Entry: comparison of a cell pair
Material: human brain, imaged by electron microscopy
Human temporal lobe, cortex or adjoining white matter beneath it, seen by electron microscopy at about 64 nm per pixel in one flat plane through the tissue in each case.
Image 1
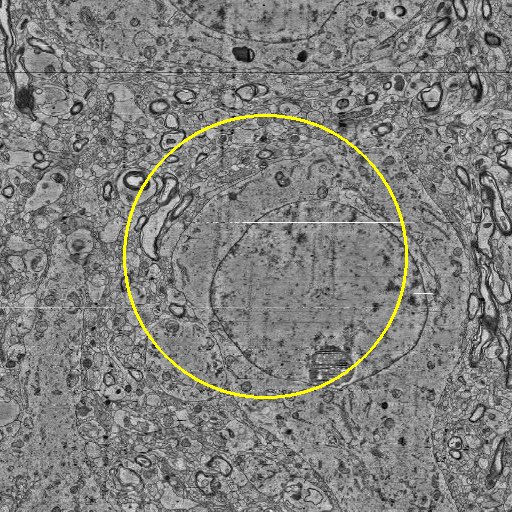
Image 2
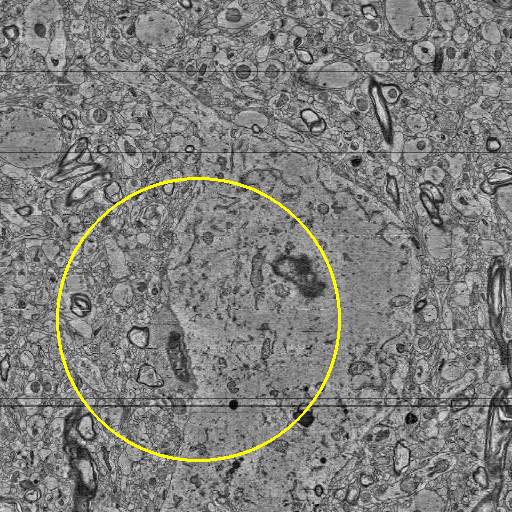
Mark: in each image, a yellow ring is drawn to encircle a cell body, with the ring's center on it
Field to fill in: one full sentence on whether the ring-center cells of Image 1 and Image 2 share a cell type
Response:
No, Image 1 and Image 2 show ring-center cells of two separate types.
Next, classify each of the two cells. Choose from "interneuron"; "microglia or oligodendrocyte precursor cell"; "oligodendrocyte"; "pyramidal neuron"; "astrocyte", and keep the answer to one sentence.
In the first picture it is a pyramidal neuron; in the second it is an oligodendrocyte.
